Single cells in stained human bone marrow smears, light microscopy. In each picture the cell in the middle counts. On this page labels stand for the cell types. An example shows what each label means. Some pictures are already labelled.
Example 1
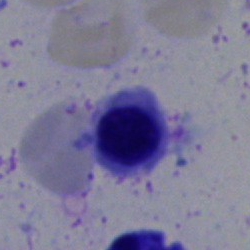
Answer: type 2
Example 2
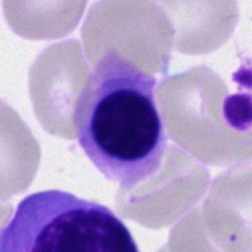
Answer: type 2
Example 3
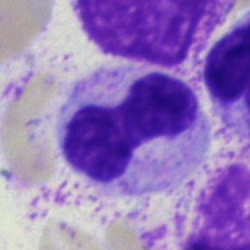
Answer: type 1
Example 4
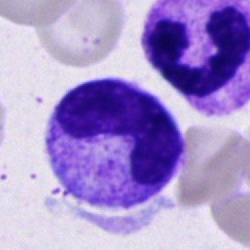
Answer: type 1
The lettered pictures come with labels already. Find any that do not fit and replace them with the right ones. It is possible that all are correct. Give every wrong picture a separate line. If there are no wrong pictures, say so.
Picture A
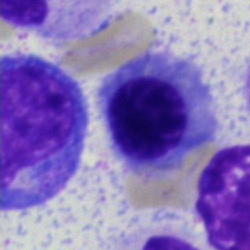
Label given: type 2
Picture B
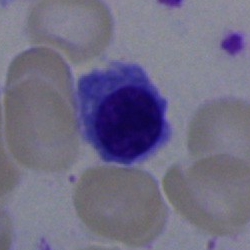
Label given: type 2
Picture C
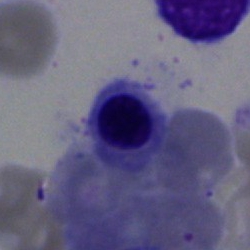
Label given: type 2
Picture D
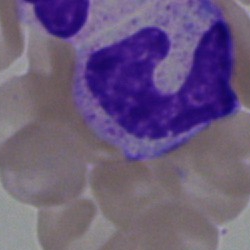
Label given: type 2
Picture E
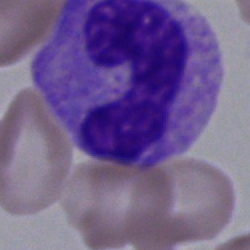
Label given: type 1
D: type 1, not type 2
